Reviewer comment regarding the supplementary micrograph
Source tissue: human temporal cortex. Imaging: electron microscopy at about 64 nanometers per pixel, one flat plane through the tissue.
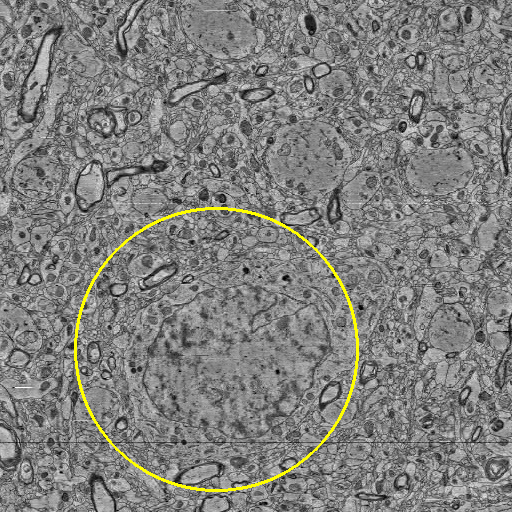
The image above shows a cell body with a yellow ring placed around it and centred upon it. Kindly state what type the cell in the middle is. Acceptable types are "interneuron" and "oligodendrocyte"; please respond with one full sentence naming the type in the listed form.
In the image above, the cell on which the yellow ring is centred is an interneuron.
